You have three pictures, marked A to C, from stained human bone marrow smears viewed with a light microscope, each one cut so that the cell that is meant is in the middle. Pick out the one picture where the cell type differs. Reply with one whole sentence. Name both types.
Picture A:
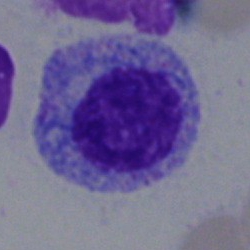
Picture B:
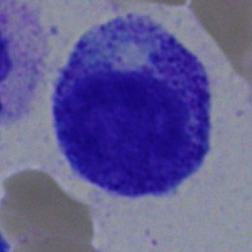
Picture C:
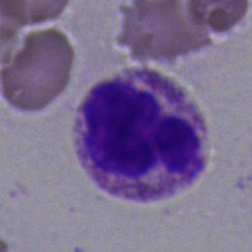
Picture C is the odd one out: it shows an eosinophil, while the others show myelocytes.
